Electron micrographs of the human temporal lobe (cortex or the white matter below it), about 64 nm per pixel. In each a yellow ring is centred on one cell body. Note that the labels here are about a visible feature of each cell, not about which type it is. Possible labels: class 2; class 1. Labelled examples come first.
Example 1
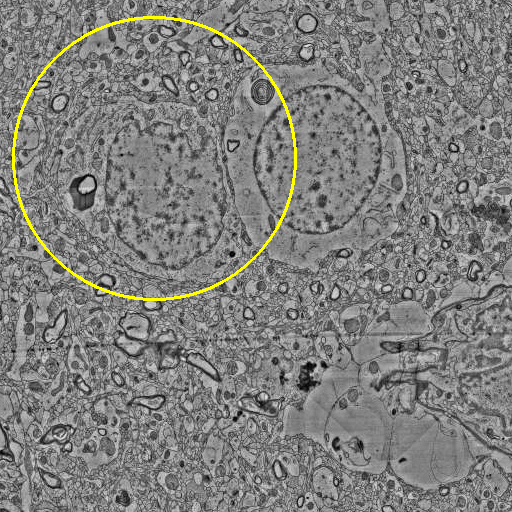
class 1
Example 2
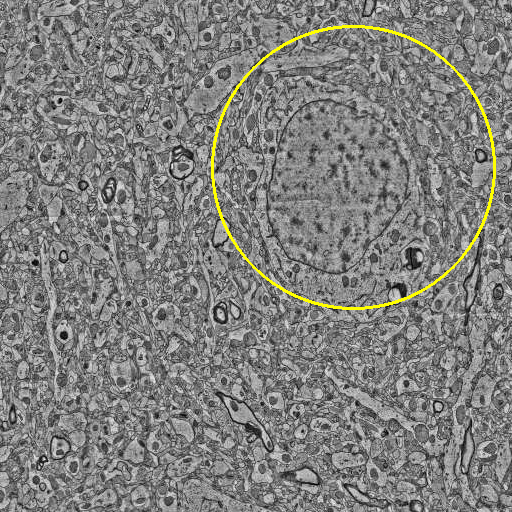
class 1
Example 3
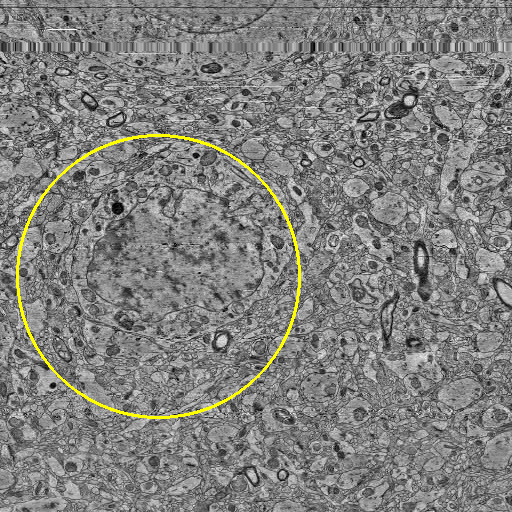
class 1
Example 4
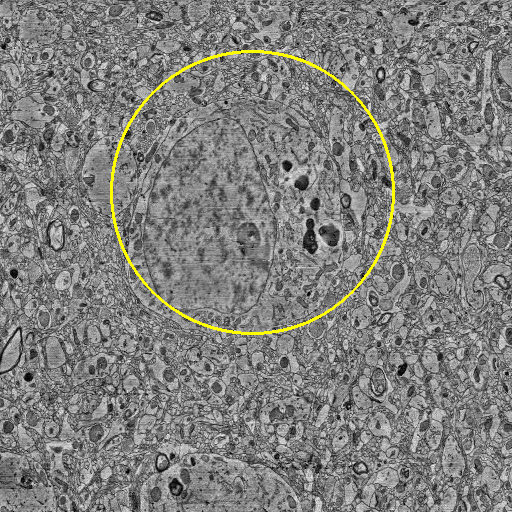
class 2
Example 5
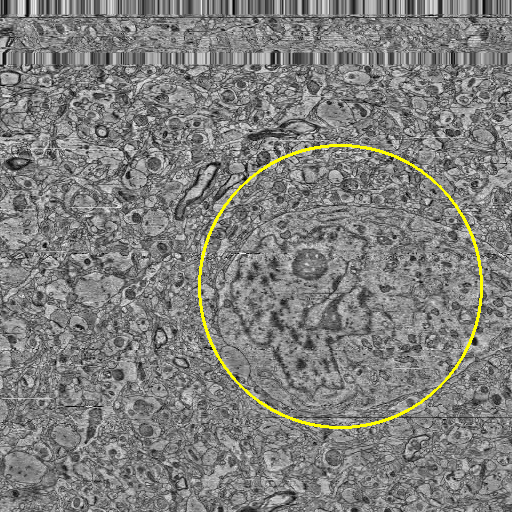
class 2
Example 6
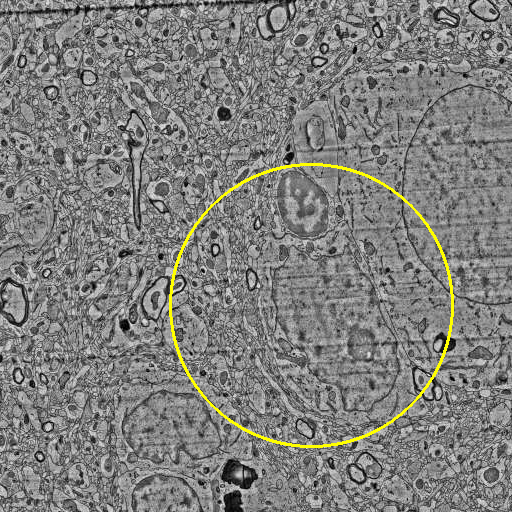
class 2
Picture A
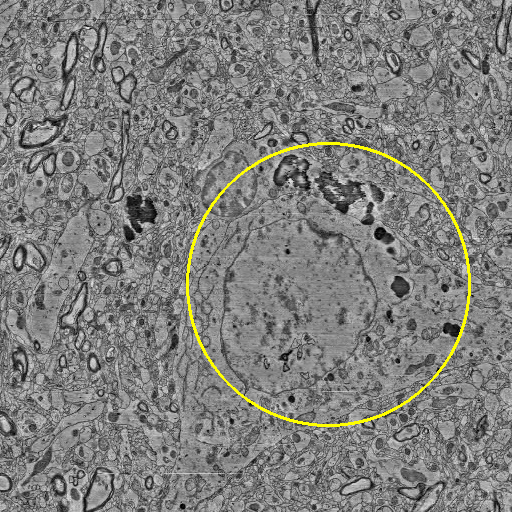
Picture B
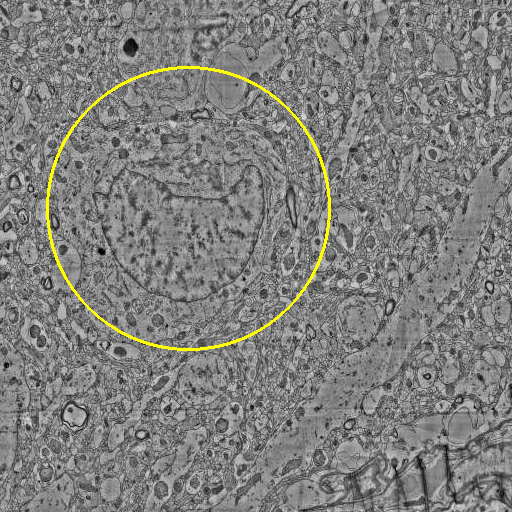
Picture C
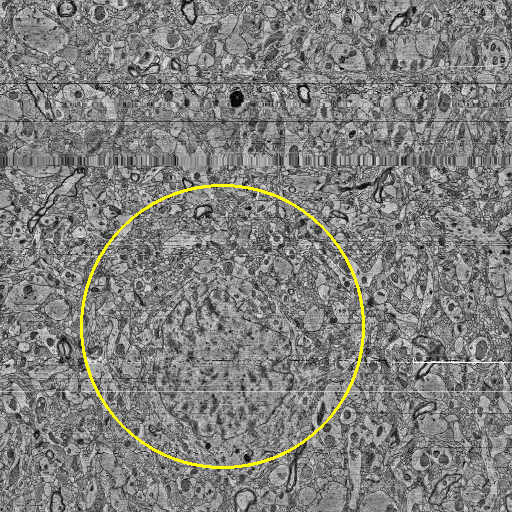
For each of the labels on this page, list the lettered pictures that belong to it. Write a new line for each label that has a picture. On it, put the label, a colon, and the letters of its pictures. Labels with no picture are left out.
class 1: A, B, C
